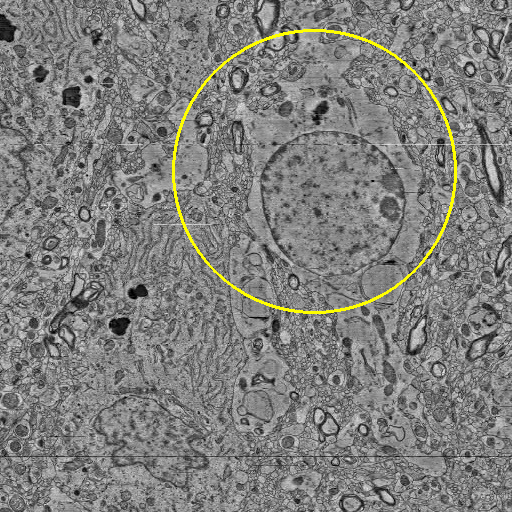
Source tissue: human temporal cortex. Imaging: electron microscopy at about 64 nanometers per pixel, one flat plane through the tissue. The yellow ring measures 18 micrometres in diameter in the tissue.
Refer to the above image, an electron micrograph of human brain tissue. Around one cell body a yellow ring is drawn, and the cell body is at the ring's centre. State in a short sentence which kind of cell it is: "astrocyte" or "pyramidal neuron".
The centre of the ring falls on an astrocyte.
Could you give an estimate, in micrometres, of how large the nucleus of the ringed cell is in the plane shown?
Approximately 9 micrometres across, in this plane.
